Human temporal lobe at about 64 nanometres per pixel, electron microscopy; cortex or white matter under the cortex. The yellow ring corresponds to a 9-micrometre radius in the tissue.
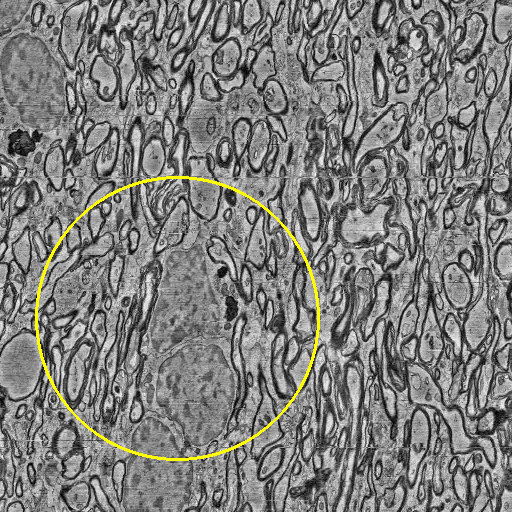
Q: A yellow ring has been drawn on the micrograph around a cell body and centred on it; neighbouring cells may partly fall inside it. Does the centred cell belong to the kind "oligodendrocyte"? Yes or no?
Yes, it belongs to that kind.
